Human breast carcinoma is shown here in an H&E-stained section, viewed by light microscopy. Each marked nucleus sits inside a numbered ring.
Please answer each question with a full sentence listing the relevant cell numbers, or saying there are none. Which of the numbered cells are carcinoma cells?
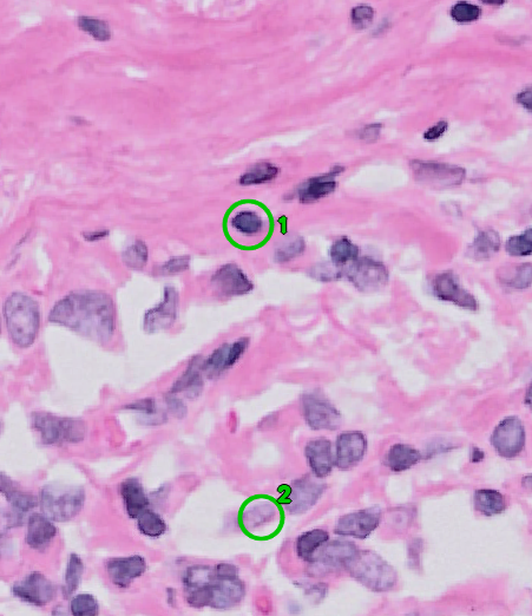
There is just one numbered cell that is a carcinoma cell, and it is cell 2.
